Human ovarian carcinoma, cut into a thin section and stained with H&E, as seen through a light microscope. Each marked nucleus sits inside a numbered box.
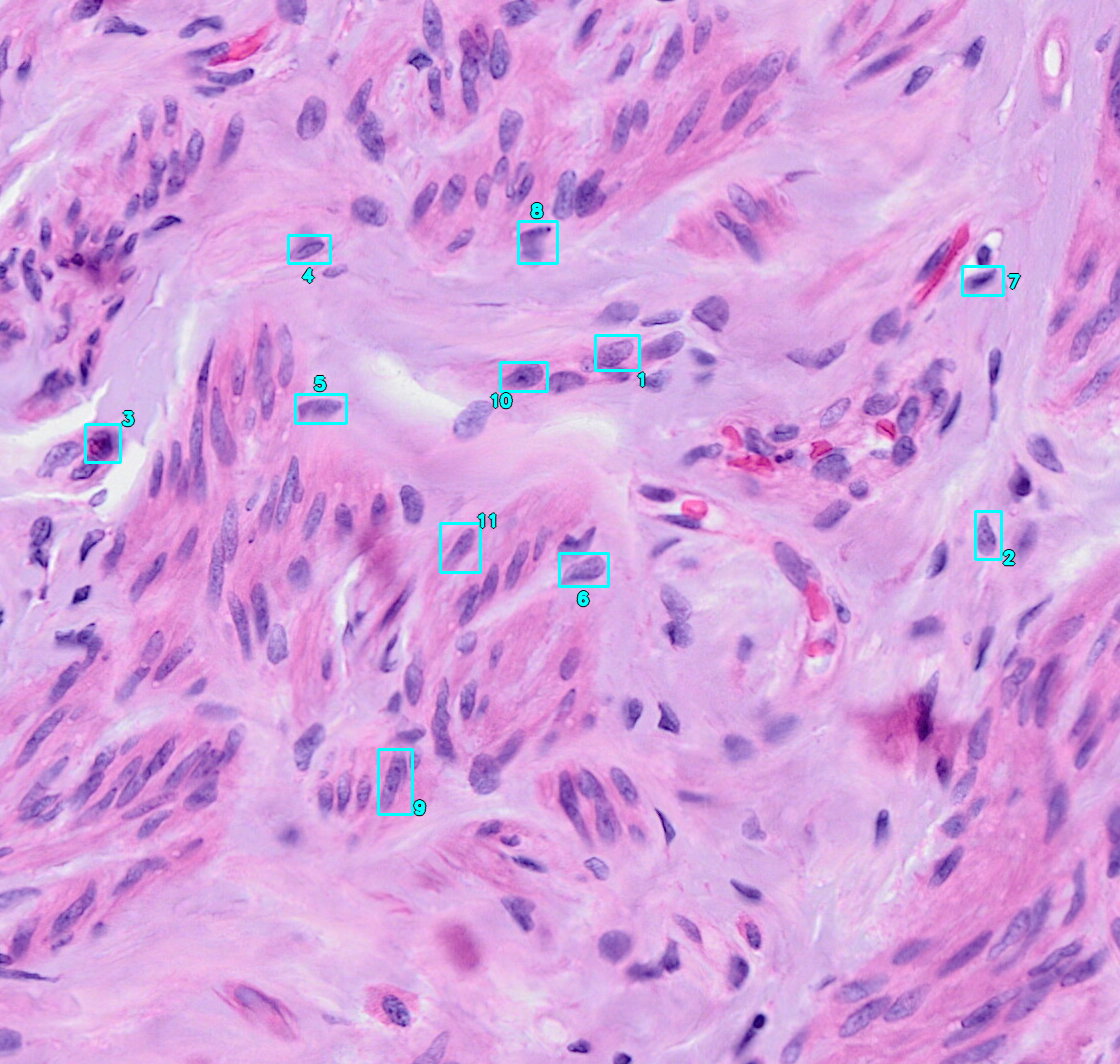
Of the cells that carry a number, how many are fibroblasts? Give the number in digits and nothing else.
6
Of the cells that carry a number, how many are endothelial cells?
3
